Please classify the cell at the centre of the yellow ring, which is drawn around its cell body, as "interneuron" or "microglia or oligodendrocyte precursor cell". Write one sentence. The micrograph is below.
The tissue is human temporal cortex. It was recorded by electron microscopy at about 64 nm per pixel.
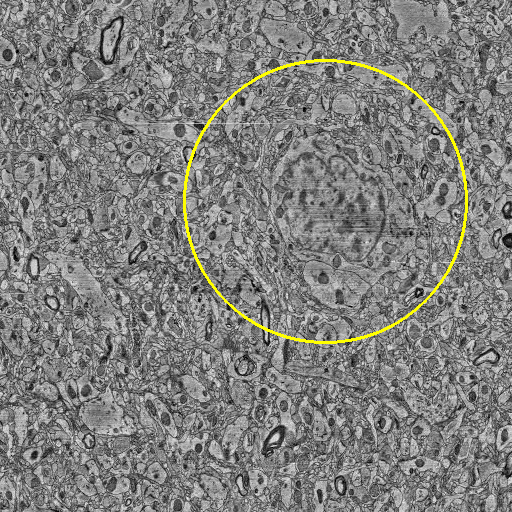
The cell at the ring's centre is classified as an interneuron.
